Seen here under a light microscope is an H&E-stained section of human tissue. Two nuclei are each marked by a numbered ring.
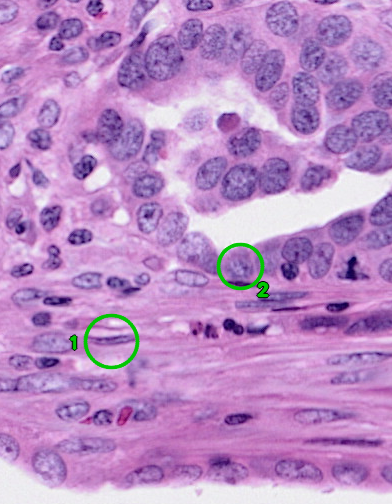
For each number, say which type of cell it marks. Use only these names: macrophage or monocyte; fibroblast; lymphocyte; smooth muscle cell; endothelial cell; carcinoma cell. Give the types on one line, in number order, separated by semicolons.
fibroblast; carcinoma cell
